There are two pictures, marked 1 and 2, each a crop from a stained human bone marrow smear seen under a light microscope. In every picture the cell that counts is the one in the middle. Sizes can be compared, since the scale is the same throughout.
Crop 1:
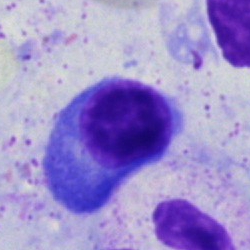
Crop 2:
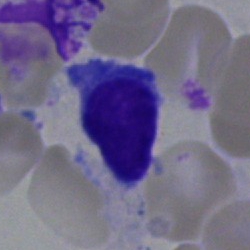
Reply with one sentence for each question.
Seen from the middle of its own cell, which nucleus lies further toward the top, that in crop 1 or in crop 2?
In crop 1 the nucleus is shifted more toward the top.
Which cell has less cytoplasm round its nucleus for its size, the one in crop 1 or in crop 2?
Of the two, the nucleus in crop 2 makes up the greater part of its cell.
